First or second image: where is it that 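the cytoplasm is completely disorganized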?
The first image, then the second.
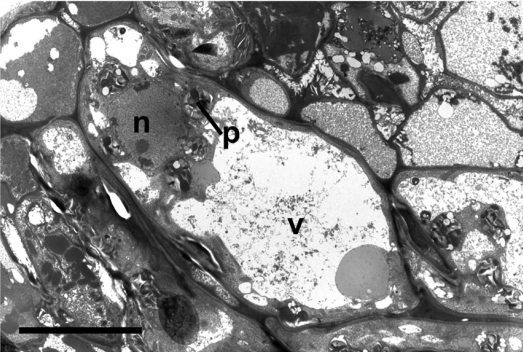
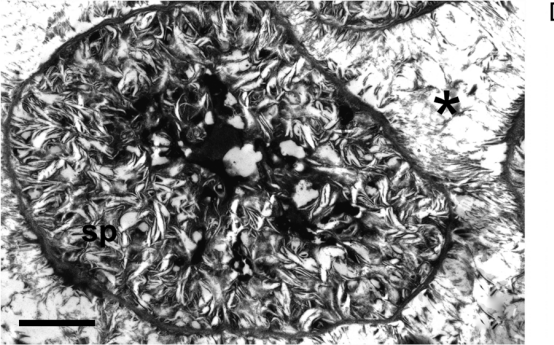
The second image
